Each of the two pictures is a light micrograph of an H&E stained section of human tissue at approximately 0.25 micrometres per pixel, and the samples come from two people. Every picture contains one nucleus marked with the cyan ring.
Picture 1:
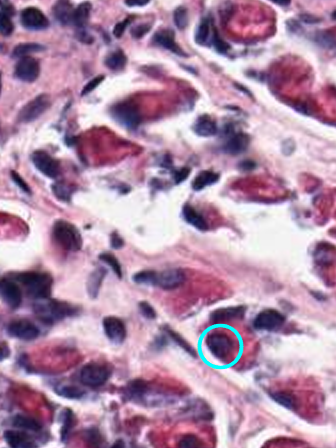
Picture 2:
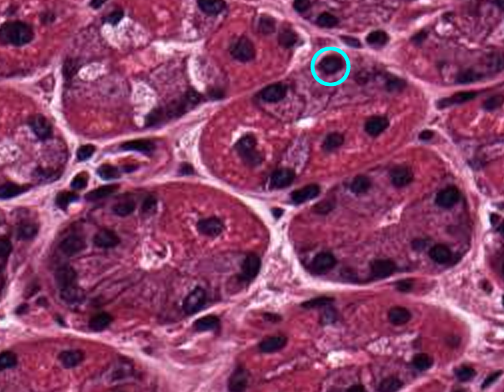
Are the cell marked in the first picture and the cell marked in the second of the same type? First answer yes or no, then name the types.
No, the first is a parietal cell and the second a chief cell.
